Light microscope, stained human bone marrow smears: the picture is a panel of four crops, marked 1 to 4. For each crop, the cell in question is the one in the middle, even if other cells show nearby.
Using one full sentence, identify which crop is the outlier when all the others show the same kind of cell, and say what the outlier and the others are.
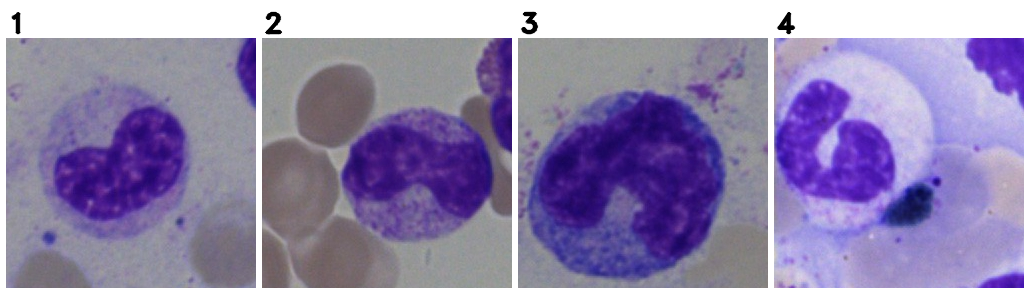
Crop 3 does not match the others; it shows a monocyte, and they show band neutrophils.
